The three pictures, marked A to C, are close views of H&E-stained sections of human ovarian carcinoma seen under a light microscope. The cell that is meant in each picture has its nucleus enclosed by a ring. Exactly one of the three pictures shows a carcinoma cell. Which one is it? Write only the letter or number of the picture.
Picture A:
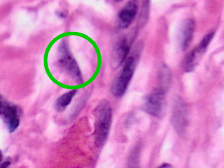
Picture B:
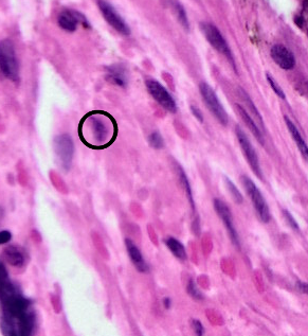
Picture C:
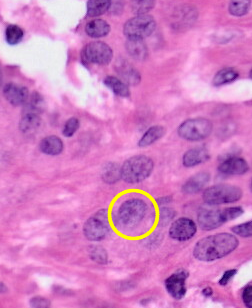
C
